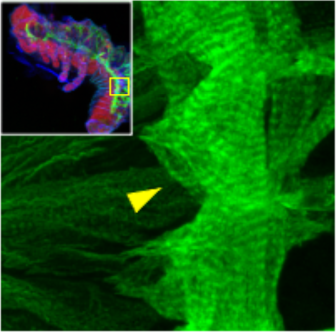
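A wide band of muscle fills much of the field, built of many parallel fibres. Across them runs a fine, regular repeating banding, the striations of the myofibrils, visible over most of the band's length. At the margins, looser, thinner strands fan out into the dark surroundings. A denser zone of green marks where the muscle band narrows or attaches.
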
